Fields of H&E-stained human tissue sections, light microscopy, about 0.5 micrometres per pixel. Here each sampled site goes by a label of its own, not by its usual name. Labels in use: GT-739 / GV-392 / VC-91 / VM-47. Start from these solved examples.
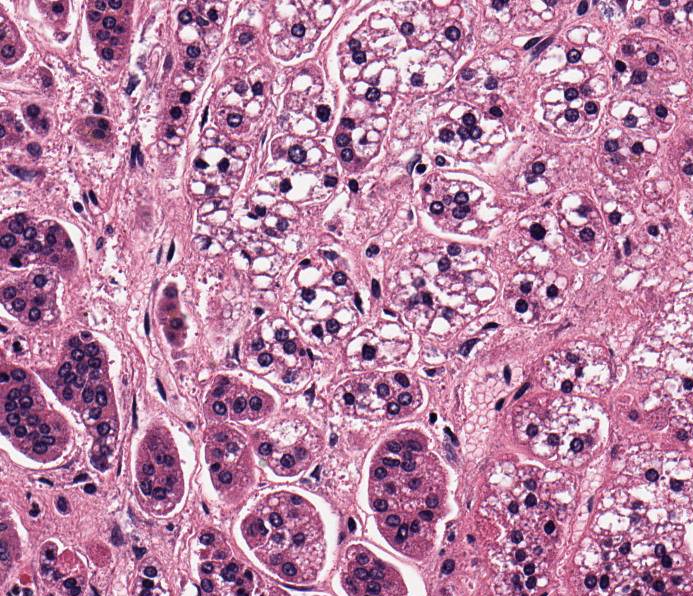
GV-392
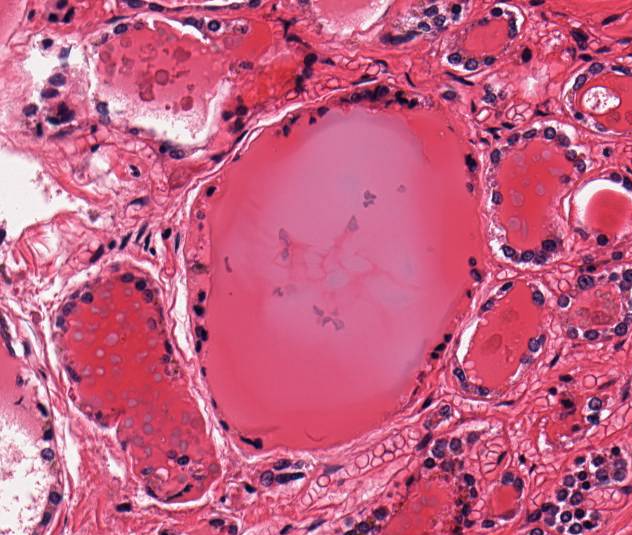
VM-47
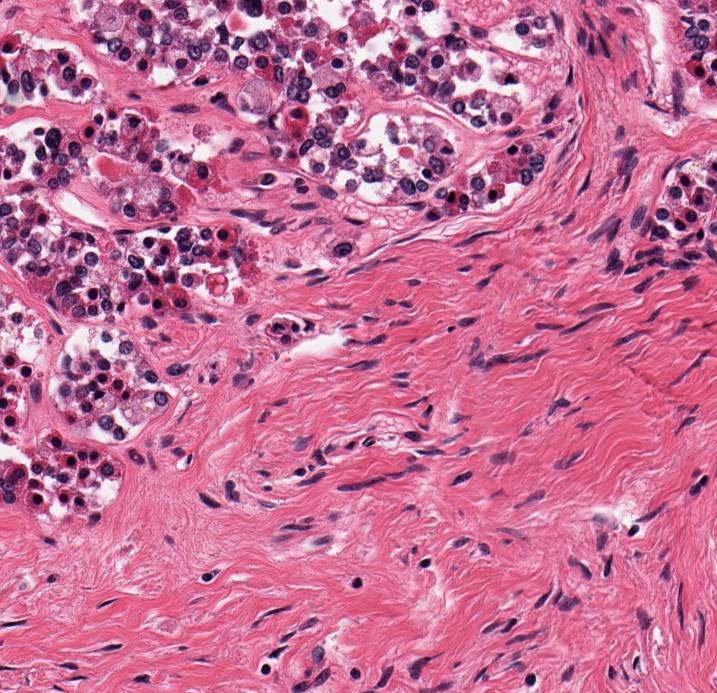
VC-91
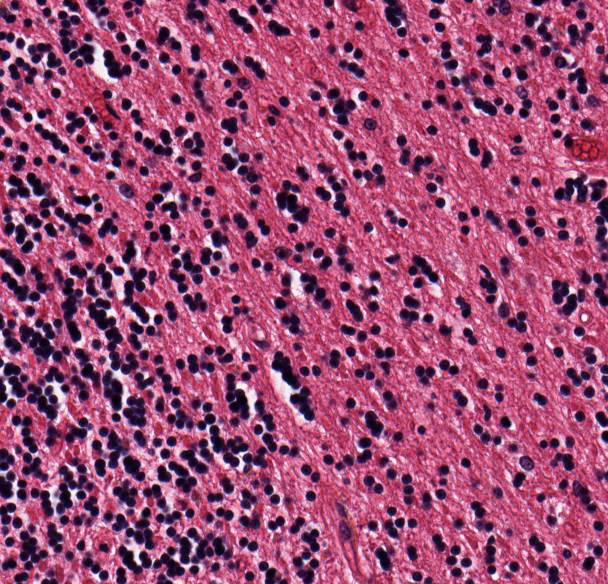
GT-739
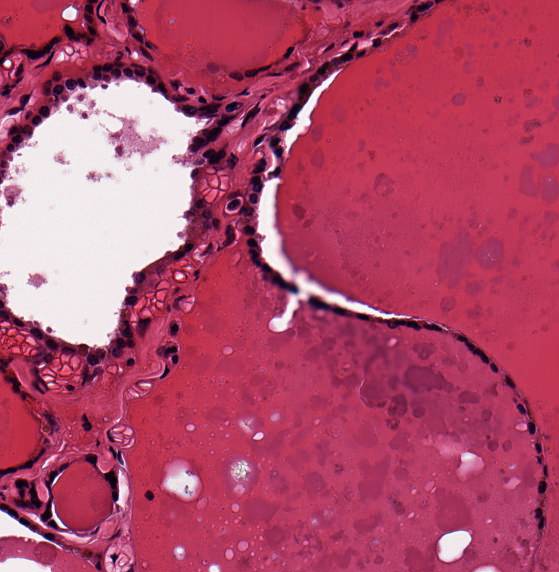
VM-47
